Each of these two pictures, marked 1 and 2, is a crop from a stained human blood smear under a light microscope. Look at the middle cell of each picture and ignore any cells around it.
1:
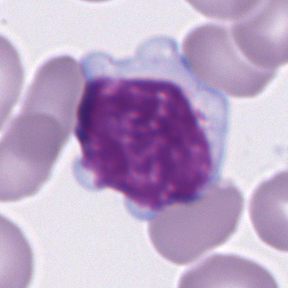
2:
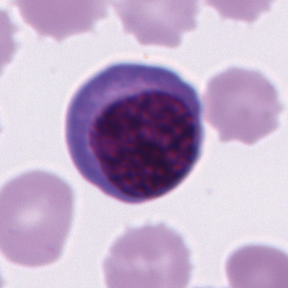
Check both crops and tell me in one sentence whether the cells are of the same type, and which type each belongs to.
No, crop 1 is where a typical lymphocyte is shown, and crop 2 is where a normoblast is shown.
